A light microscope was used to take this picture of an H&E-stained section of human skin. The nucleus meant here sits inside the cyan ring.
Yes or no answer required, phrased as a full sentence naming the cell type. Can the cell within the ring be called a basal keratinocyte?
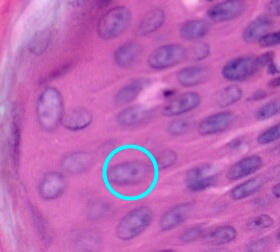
No, the cell within the ring is not a basal keratinocyte; a suprabasal keratinocyte is what it is.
